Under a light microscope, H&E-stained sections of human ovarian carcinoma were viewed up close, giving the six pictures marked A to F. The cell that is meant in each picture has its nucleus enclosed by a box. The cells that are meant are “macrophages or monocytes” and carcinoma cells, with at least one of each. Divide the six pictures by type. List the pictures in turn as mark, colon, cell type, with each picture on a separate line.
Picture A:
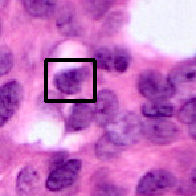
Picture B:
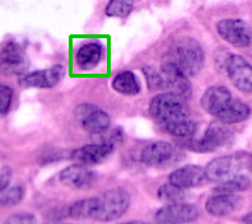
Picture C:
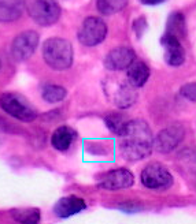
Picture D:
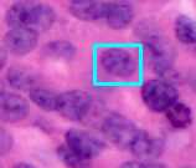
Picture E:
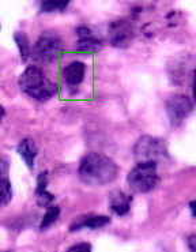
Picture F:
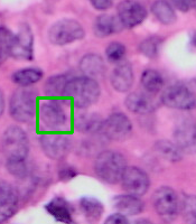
A: carcinoma cell
B: macrophage or monocyte
C: macrophage or monocyte
D: carcinoma cell
E: carcinoma cell
F: carcinoma cell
